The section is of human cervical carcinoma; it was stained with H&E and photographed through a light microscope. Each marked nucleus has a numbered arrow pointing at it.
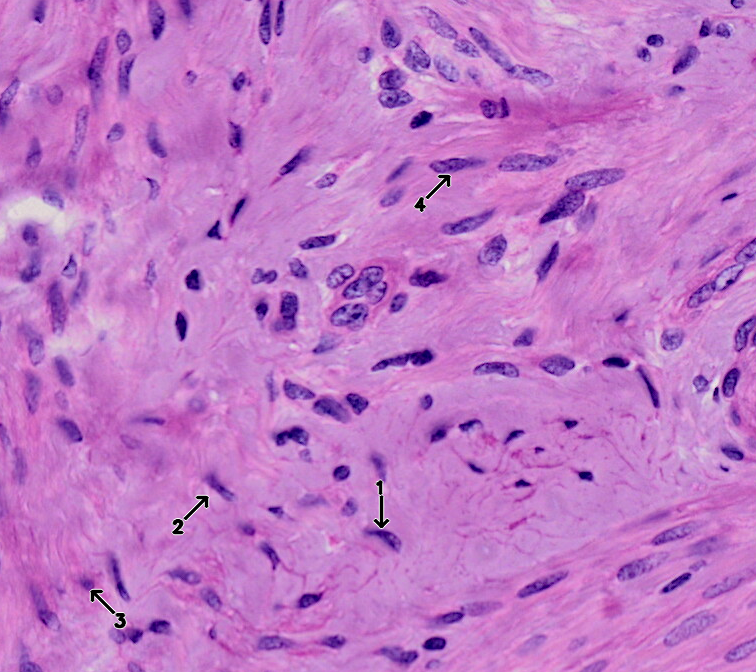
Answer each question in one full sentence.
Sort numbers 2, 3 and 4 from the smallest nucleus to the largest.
The order from the smallest nucleus to the largest is 3, 2, 4.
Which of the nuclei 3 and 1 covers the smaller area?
With nucleus 1 about 2 times its size, nucleus 3 is the smaller of the two.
